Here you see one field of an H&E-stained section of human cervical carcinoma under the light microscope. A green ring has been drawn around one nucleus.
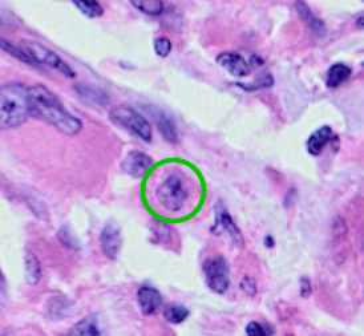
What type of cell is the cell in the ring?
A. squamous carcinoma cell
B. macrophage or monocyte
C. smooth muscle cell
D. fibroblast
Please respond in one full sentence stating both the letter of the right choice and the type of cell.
Hey, it is option B: the cell in the ring is a macrophage or monocyte.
